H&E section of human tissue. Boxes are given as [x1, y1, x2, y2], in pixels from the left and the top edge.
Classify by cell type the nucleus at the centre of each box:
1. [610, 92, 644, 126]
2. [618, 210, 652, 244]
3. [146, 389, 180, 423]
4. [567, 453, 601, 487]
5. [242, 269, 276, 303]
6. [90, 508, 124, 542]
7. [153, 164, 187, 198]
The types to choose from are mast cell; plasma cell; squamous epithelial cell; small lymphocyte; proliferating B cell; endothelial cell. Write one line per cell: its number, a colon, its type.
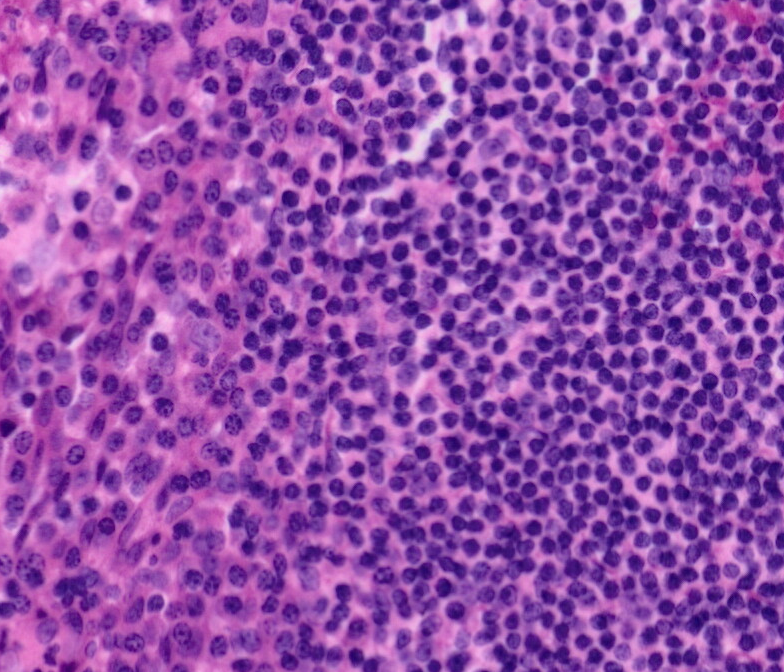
1: small lymphocyte
2: small lymphocyte
3: plasma cell
4: small lymphocyte
5: plasma cell
6: plasma cell
7: plasma cell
